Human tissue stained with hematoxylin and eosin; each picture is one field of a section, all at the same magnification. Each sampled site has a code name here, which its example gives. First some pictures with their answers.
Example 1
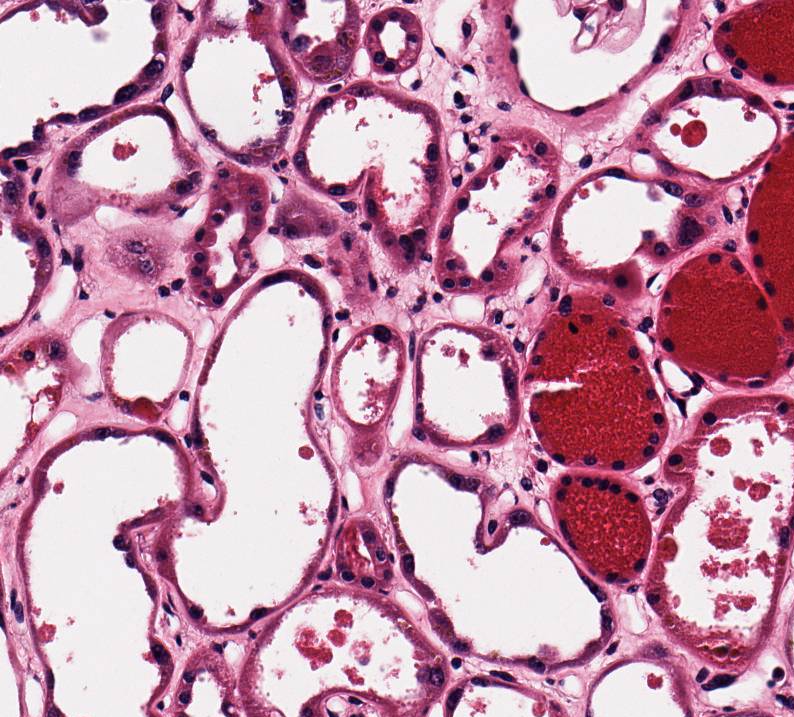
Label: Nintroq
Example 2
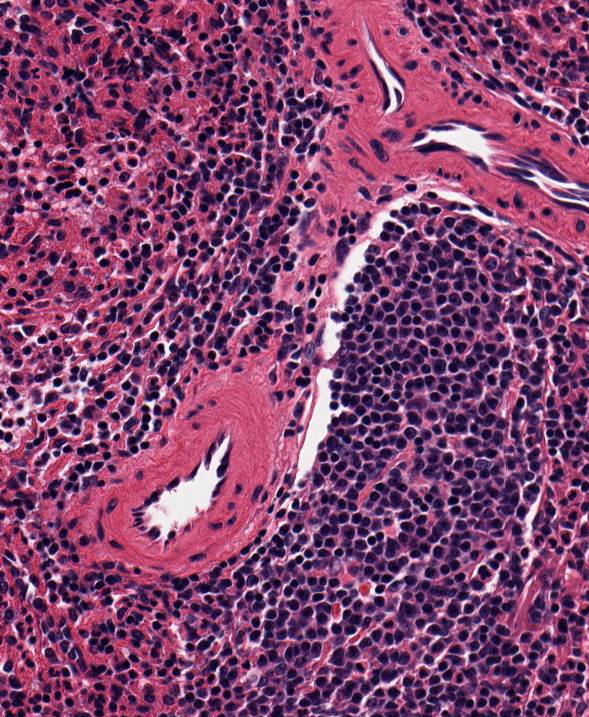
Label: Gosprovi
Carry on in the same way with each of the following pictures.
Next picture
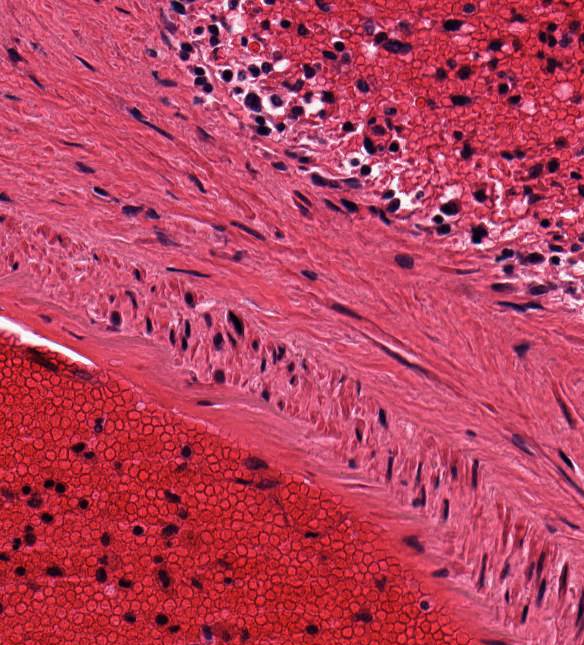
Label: Gosprovi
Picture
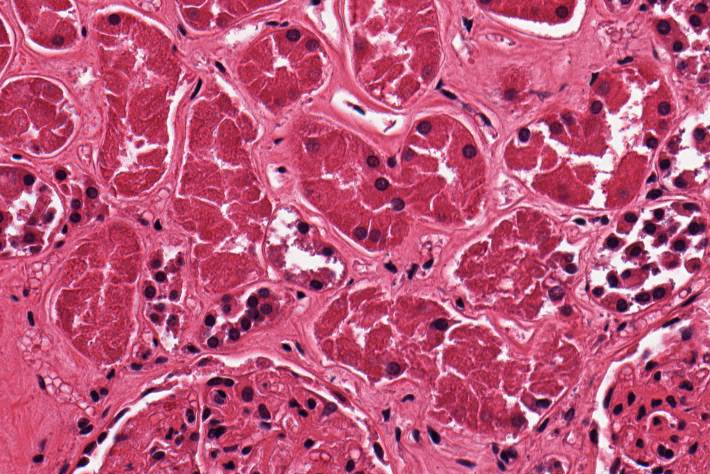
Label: Nintroq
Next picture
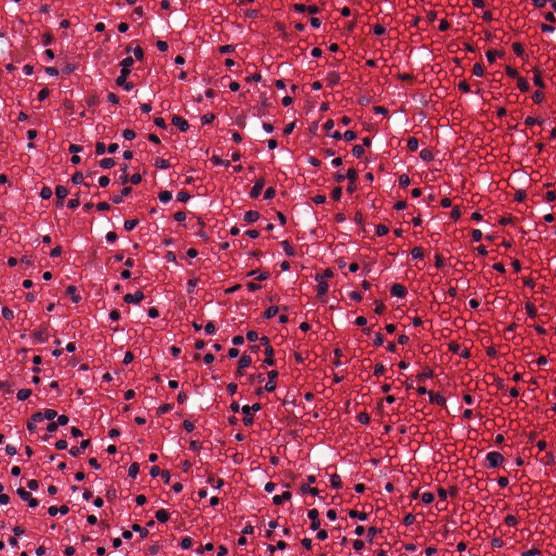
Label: Gosprovi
